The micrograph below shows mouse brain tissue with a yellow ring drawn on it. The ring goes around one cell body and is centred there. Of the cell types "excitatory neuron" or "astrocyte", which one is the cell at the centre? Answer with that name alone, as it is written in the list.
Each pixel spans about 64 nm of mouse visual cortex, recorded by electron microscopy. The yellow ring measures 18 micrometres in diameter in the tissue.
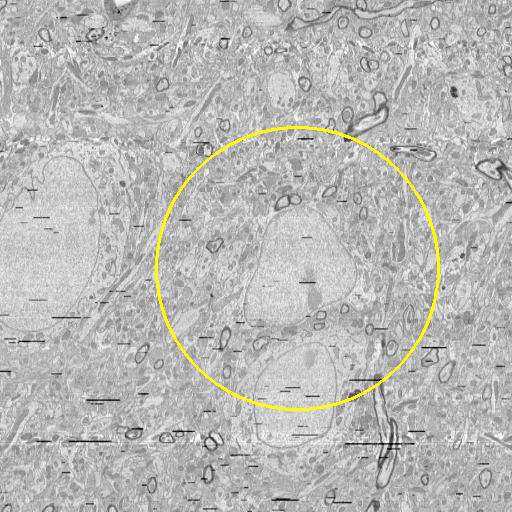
astrocyte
